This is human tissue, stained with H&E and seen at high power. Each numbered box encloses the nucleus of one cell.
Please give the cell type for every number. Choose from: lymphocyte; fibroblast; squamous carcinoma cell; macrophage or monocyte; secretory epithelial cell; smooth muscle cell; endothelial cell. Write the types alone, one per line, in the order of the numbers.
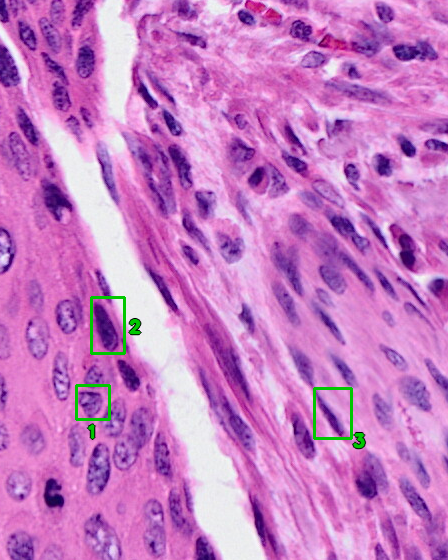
squamous carcinoma cell
squamous carcinoma cell
fibroblast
